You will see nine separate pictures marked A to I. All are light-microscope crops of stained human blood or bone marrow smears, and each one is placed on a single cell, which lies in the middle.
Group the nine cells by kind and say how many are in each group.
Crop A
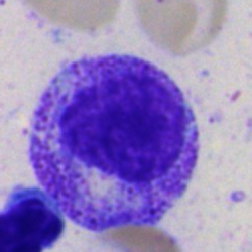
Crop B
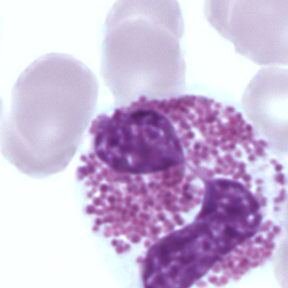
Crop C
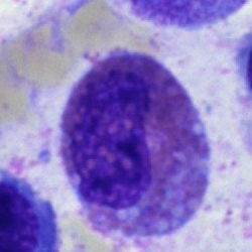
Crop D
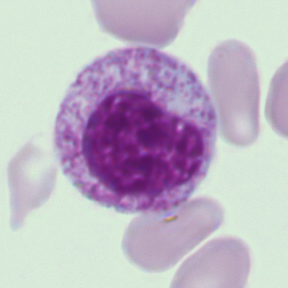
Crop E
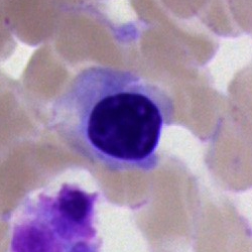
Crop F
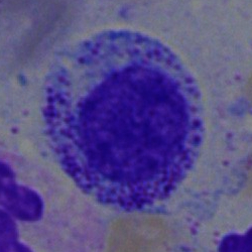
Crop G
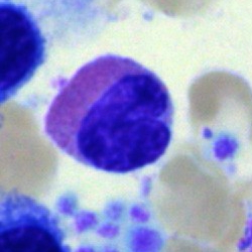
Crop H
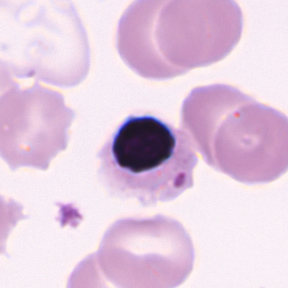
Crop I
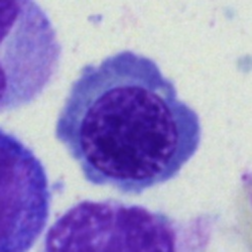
myelocyte: 3
eosinophil: 3
erythroblast: 3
